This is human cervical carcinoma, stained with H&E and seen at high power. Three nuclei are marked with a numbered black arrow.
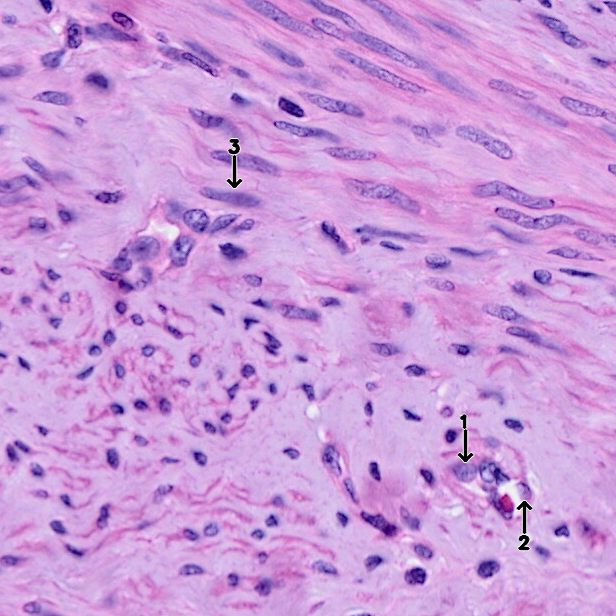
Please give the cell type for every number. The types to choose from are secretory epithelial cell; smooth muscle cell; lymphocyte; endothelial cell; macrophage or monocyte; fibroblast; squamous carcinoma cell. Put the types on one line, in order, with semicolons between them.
endothelial cell; endothelial cell; fibroblast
